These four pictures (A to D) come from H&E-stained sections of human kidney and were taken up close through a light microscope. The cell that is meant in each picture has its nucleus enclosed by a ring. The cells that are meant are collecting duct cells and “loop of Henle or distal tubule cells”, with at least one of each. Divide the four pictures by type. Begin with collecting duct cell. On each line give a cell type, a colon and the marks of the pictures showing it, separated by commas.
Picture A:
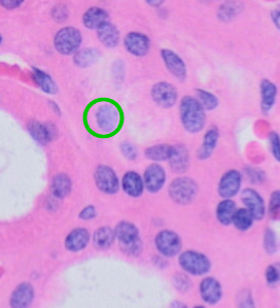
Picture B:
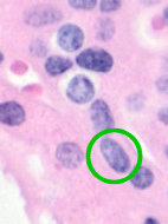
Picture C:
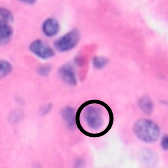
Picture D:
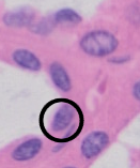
collecting duct cell: A, B
loop of Henle or distal tubule cell: C, D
